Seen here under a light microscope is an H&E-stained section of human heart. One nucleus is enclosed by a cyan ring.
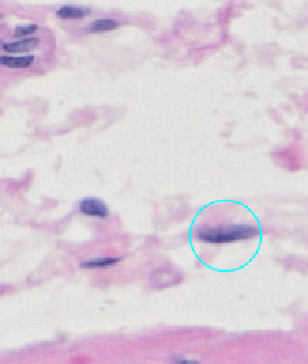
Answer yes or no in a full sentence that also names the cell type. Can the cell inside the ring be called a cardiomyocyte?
No, the cell inside the ring is best named a fibroblast, not a cardiomyocyte.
